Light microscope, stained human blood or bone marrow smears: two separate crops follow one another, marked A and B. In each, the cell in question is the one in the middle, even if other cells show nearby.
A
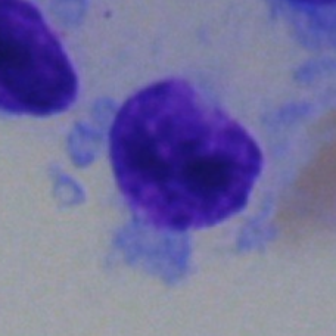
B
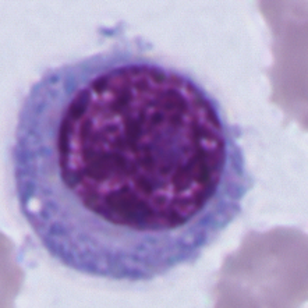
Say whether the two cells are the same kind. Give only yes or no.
no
